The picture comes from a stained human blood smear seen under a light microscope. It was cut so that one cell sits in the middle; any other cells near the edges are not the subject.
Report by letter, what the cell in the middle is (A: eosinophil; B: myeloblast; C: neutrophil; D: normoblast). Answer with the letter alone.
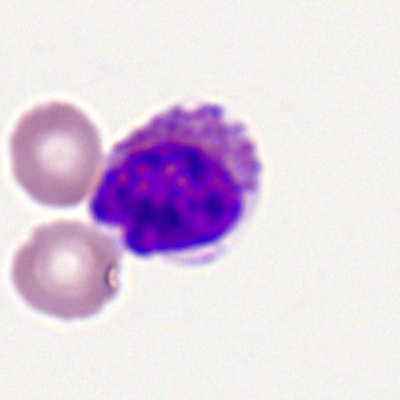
A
